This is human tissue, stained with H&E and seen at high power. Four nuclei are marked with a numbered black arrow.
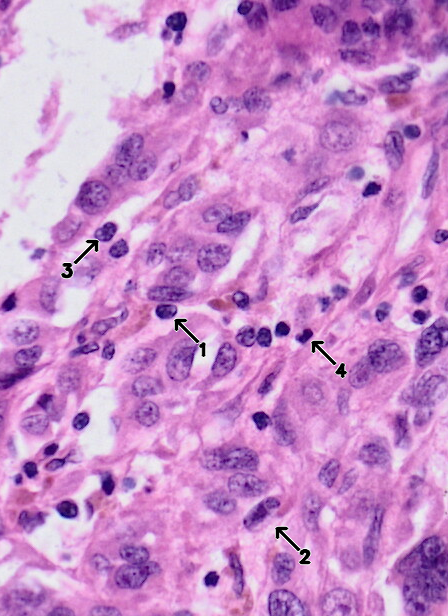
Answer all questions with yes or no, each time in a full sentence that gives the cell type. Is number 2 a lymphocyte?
No, the cell given number 2 is a melanoma cell, not a lymphocyte.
